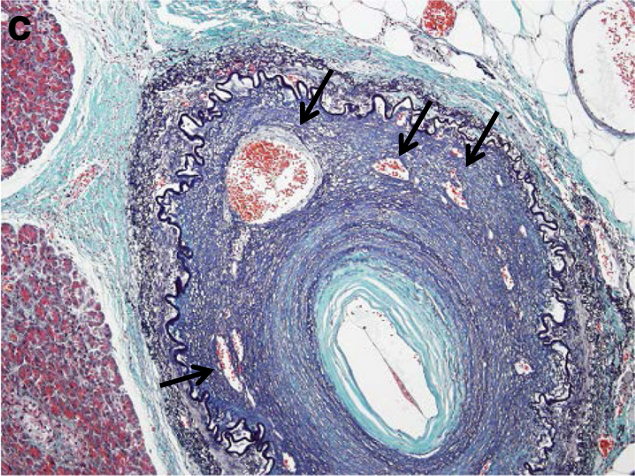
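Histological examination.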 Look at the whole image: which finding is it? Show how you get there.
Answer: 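A vessel with a small central lumen is surrounded by a very broad blue-stained wall. That points to this answer: thickened walls.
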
